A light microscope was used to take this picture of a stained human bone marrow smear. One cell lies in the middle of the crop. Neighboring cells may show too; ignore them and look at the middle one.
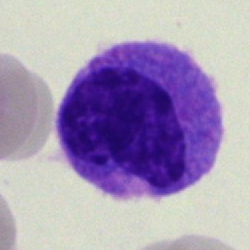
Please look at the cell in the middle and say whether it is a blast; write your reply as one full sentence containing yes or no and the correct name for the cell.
No, the centrally placed cell is a monocyte, not a blast.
